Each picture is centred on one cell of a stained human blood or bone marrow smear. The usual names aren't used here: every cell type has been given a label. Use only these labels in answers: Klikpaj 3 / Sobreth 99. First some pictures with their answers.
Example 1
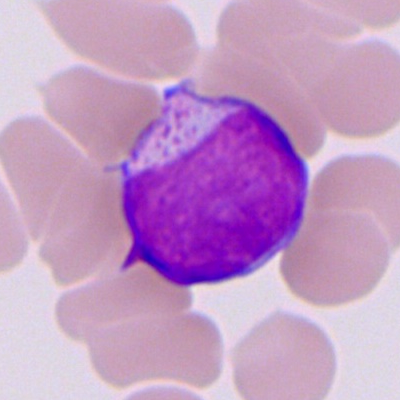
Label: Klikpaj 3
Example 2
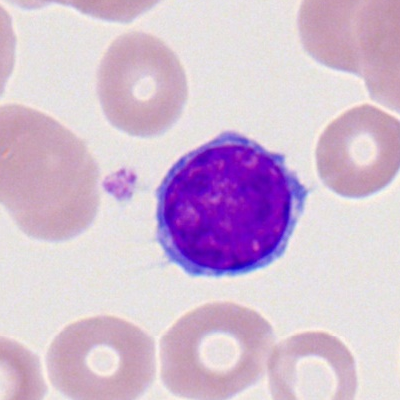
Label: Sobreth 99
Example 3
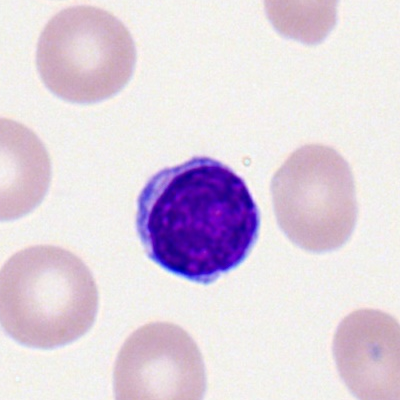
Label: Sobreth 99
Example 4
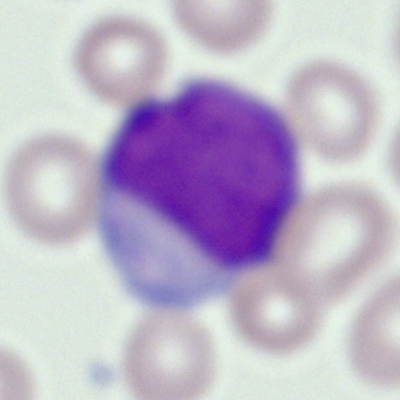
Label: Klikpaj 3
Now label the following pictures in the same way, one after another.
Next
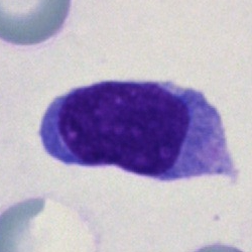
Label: Klikpaj 3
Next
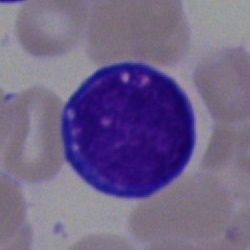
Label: Klikpaj 3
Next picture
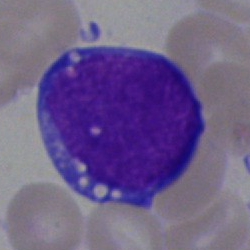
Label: Klikpaj 3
